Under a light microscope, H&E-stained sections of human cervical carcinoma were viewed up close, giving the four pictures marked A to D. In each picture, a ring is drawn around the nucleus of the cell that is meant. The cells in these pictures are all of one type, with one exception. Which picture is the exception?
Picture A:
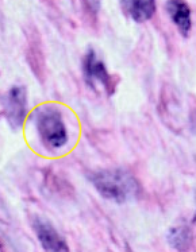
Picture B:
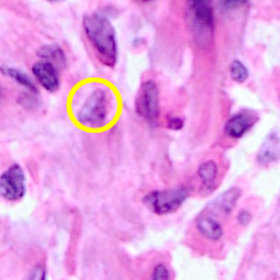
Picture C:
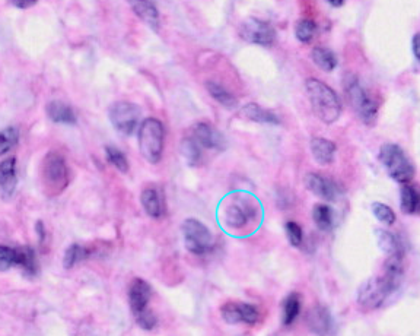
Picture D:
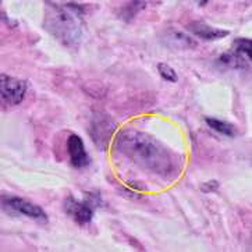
D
